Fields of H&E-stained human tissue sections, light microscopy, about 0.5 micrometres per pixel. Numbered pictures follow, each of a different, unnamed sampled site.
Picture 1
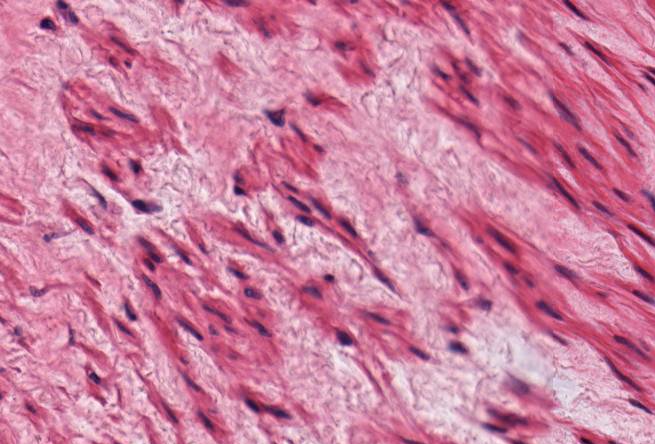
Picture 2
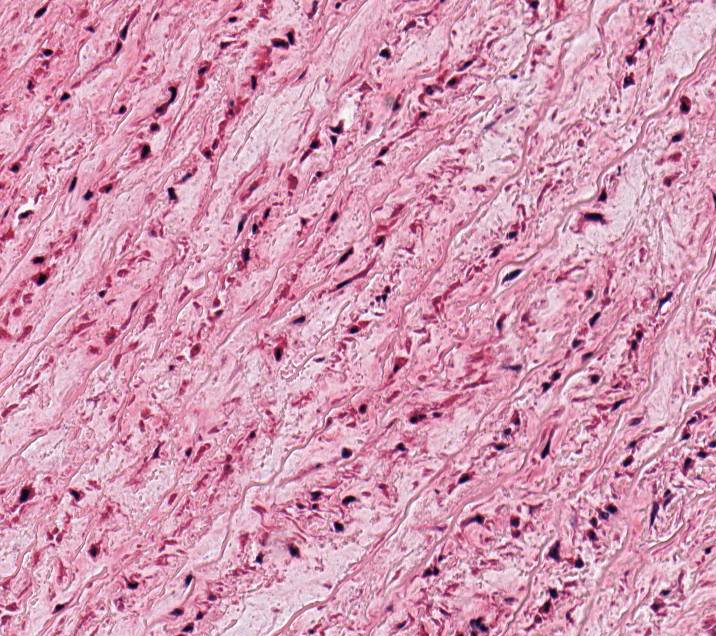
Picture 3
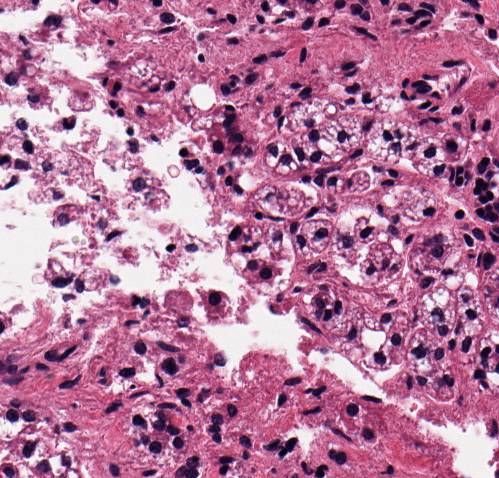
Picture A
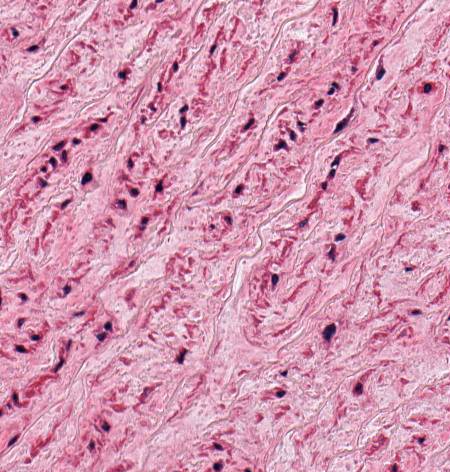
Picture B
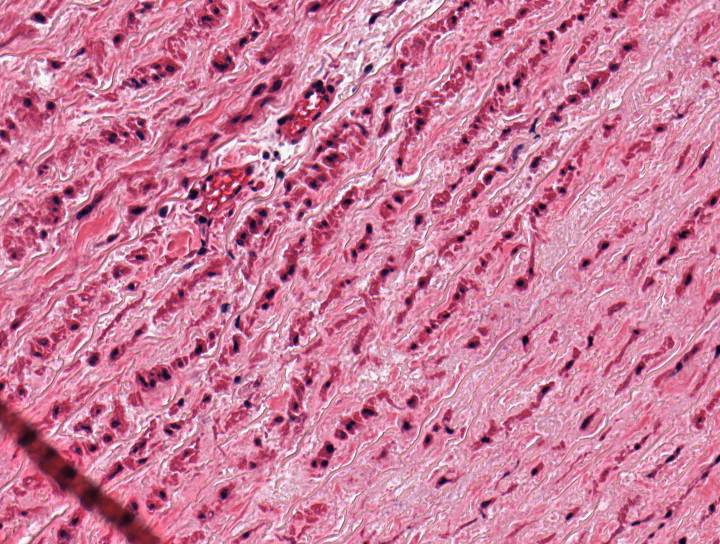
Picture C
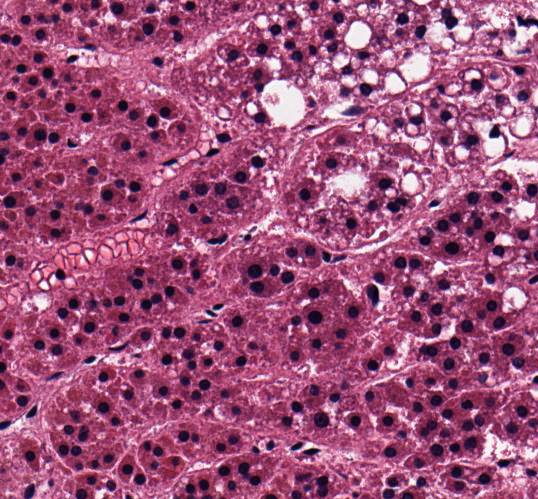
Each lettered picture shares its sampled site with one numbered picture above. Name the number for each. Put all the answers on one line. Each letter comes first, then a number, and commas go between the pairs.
A 2, B 2, C 3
